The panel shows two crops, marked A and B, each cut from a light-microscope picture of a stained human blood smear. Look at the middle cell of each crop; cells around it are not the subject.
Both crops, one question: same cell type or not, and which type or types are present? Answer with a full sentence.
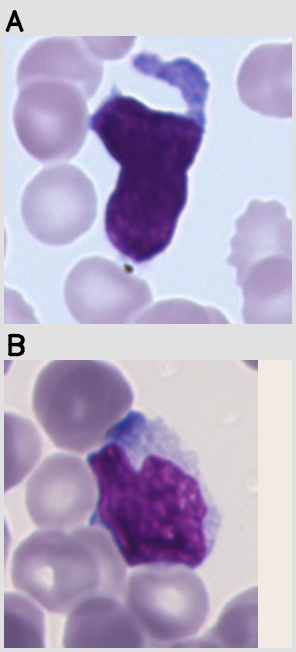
Yes, the cells at the centre of the two crops are both typical lymphocytes.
